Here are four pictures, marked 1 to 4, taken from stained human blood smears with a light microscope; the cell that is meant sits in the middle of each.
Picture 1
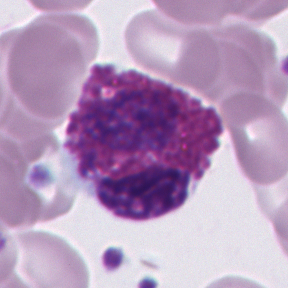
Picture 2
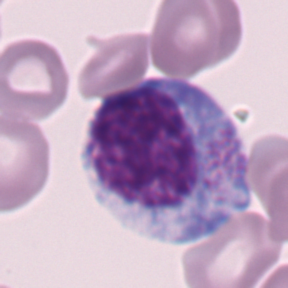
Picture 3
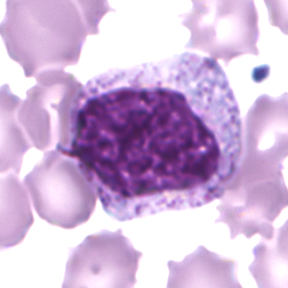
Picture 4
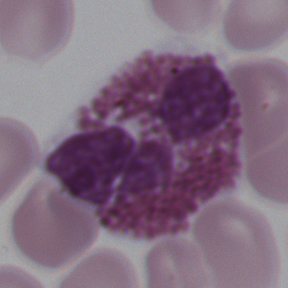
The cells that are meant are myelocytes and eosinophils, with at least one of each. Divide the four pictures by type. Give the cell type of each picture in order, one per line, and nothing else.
eosinophil
myelocyte
myelocyte
eosinophil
